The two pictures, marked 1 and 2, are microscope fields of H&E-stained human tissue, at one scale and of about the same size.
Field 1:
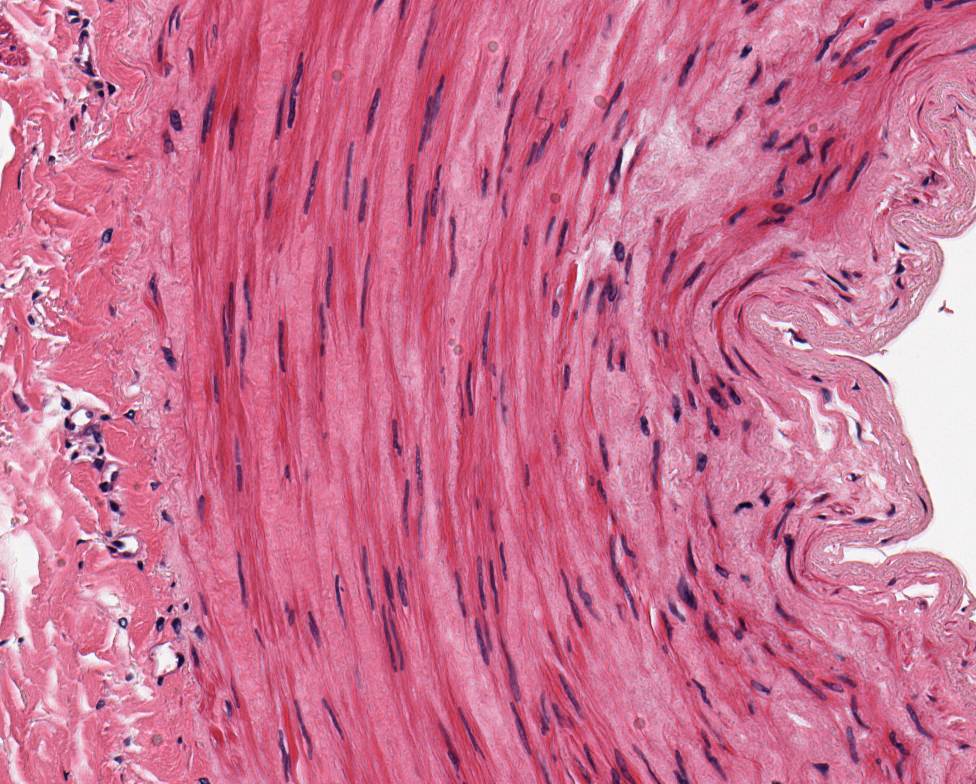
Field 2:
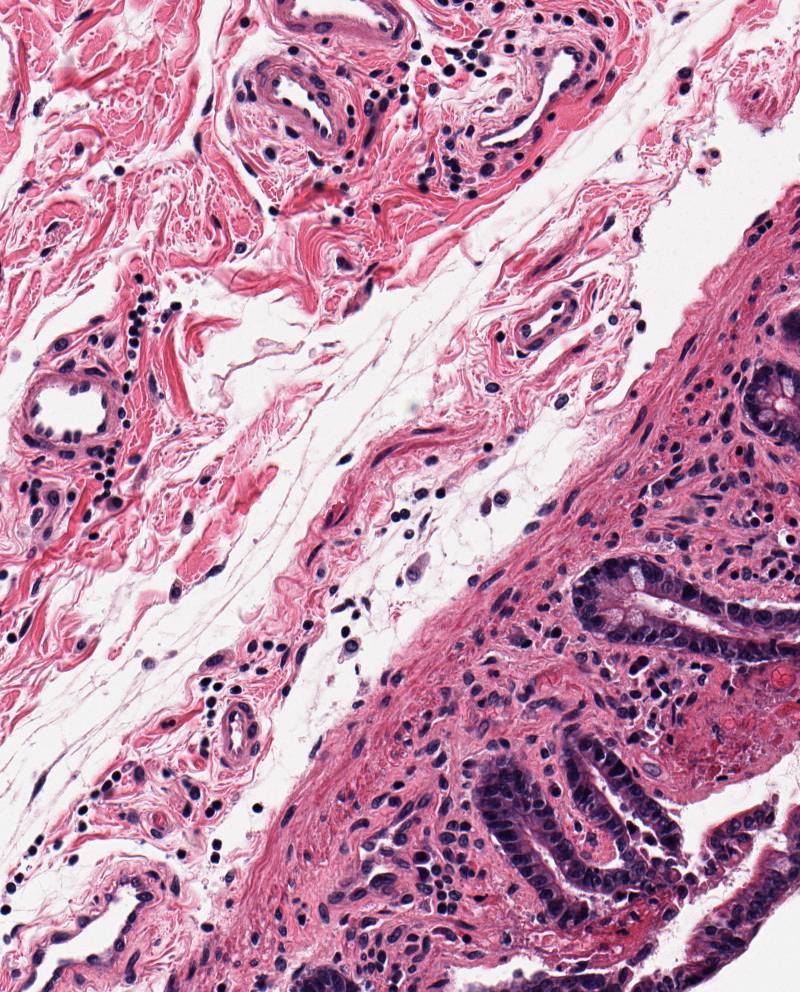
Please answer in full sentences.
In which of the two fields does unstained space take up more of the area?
Unstained space takes up more of field 2 than of field 1.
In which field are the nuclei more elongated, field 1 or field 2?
The nuclei are more elongated in field 1.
